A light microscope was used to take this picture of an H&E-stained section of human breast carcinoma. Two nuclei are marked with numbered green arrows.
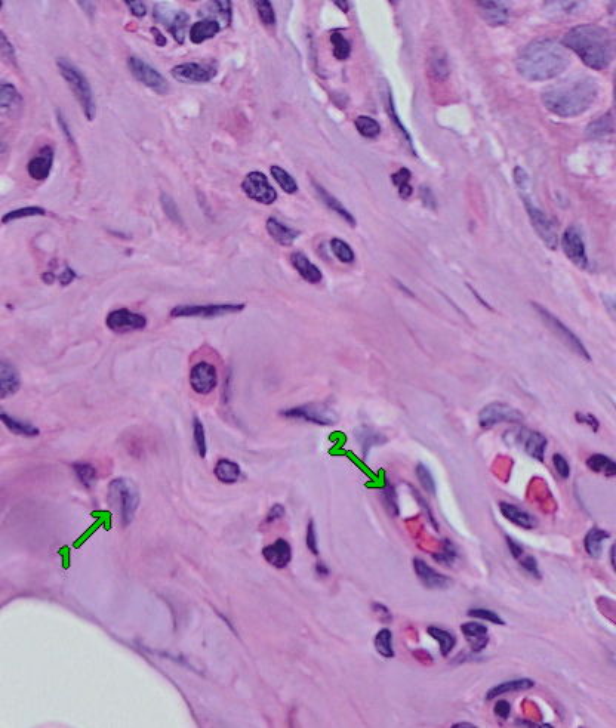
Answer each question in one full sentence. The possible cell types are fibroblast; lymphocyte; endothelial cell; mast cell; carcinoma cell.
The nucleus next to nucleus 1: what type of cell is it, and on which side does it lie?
Lying above and to the left of nucleus 1, the nearest nucleus is that of a mast cell.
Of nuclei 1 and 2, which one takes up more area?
Number 1 is larger; its area is about 1.5 times that of number 2.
